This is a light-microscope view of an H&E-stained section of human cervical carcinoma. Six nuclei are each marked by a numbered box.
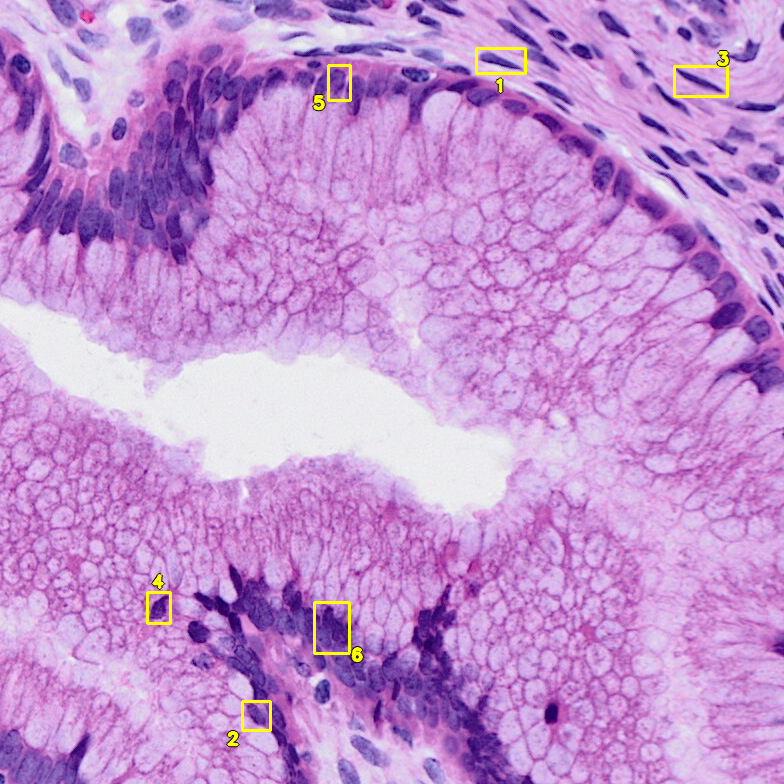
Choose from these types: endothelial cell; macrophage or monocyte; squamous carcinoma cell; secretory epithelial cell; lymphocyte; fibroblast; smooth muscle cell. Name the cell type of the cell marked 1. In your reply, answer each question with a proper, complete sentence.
Heads up, the cell numbered 1 is a fibroblast.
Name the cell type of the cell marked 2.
The cell referred to as 2 is a secretory epithelial cell.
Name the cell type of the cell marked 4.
The cell pointed out by number 4 is a secretory epithelial cell.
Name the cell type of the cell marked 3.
The cell that is numbered 3 is a fibroblast.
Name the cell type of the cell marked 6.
The nucleus marked 6 is the nucleus of a secretory epithelial cell.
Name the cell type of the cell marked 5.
The cell referenced by the number 5 is a secretory epithelial cell in this field.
